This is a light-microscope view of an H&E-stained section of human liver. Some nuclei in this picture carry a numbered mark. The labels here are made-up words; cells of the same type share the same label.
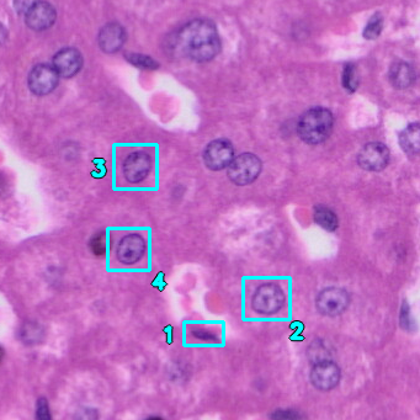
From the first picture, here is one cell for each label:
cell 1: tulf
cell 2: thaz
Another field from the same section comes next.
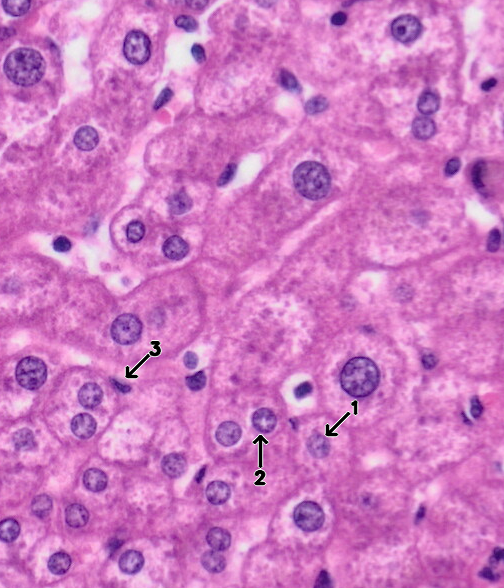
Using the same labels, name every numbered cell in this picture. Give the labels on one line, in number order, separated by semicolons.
thaz; thaz; tulf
